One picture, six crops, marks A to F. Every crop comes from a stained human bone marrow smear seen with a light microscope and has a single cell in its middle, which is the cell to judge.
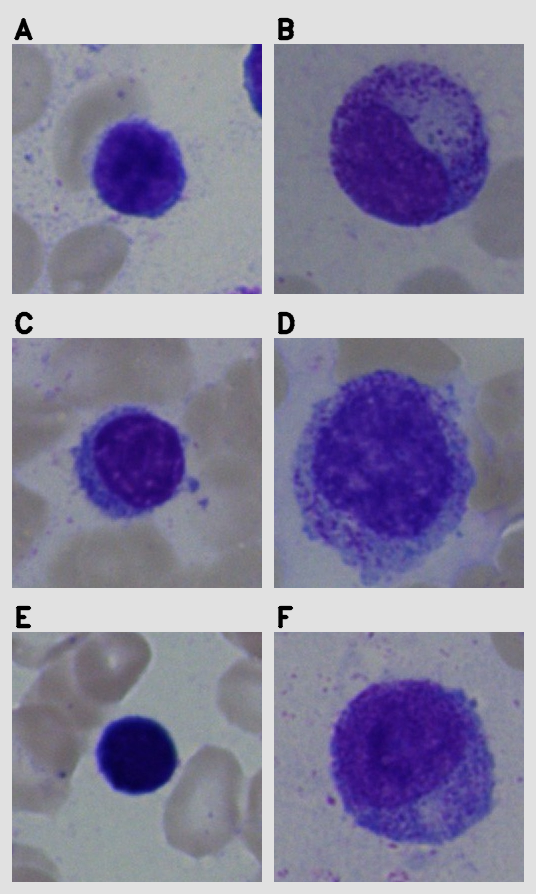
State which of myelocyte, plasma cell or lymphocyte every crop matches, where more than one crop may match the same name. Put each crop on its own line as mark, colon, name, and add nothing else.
A: lymphocyte
B: myelocyte
C: lymphocyte
D: myelocyte
E: lymphocyte
F: myelocyte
